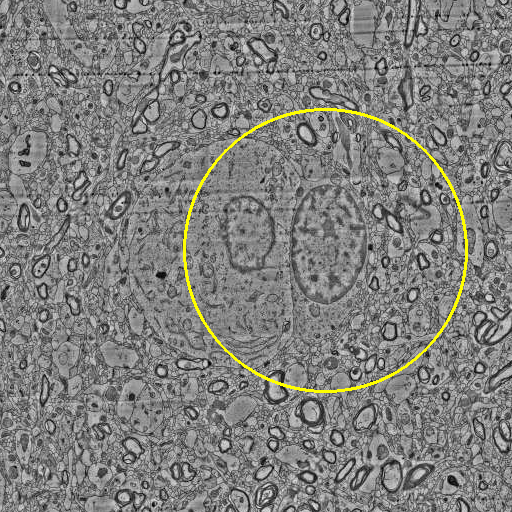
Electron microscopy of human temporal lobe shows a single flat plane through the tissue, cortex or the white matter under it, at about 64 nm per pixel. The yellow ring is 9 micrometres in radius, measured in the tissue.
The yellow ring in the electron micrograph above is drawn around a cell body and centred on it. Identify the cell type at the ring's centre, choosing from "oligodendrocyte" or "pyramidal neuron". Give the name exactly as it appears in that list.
oligodendrocyte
